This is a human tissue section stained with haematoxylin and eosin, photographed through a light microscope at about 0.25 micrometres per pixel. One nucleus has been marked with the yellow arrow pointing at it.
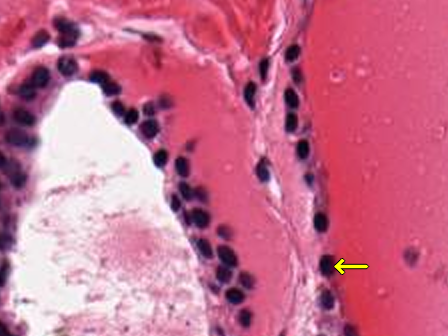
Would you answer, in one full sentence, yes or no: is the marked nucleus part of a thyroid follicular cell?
Yes, the marked nucleus is that of a thyroid follicular cell in this section.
